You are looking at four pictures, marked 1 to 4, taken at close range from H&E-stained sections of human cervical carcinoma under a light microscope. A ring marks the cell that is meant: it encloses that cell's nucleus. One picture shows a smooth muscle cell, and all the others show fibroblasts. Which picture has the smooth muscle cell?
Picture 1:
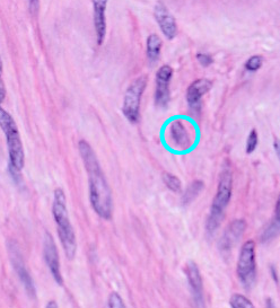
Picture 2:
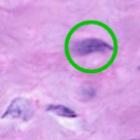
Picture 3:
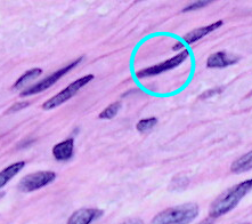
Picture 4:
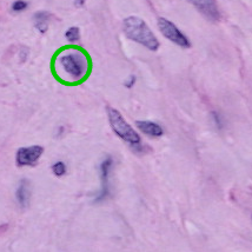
1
